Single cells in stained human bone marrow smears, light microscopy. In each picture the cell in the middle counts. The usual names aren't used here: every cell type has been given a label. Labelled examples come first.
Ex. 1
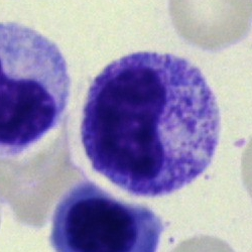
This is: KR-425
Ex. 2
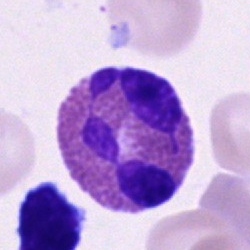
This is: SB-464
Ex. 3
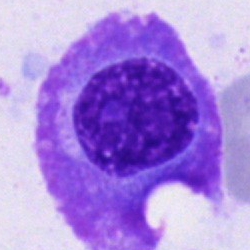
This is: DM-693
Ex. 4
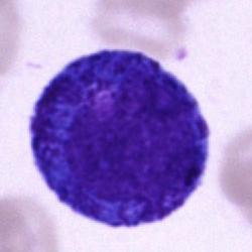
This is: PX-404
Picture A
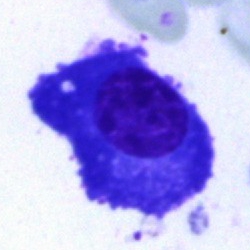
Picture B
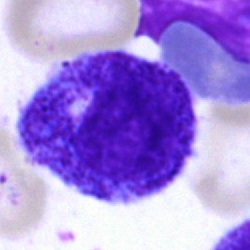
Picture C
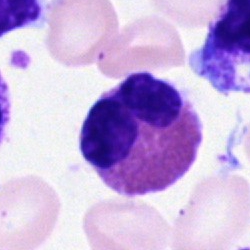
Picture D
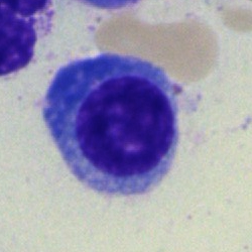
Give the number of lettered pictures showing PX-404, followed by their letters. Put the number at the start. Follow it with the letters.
1: B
